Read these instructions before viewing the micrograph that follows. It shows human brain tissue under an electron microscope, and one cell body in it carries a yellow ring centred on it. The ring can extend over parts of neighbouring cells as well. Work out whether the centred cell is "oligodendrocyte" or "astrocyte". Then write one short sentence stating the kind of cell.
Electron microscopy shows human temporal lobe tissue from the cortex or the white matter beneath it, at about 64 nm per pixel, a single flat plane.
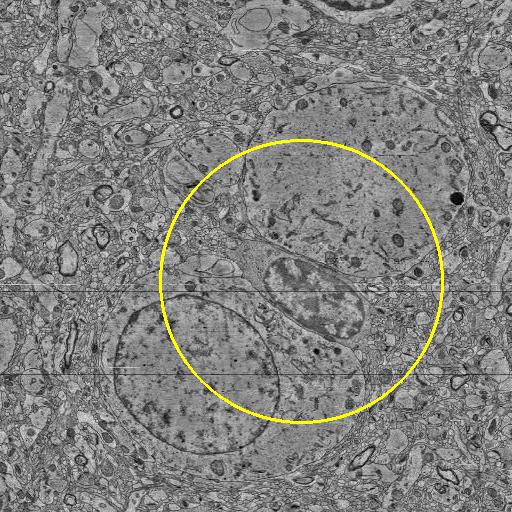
The ringed cell is an oligodendrocyte.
